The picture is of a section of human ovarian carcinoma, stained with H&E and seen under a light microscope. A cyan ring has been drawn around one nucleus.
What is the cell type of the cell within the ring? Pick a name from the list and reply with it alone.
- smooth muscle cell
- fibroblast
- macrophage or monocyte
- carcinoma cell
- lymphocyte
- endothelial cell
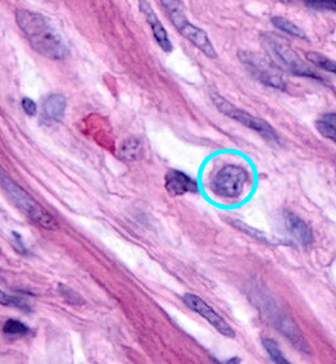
macrophage or monocyte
